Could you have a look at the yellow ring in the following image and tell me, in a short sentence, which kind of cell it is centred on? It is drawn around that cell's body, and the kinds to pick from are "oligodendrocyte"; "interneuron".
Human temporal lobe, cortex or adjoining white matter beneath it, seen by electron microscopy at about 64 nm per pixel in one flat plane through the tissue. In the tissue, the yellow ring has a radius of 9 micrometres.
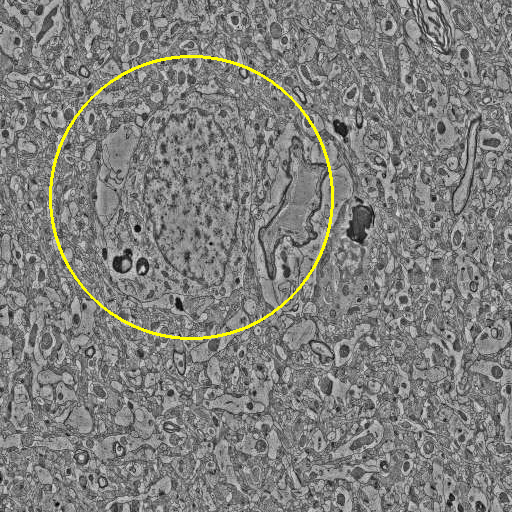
The ring is centred on the body of an interneuron.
